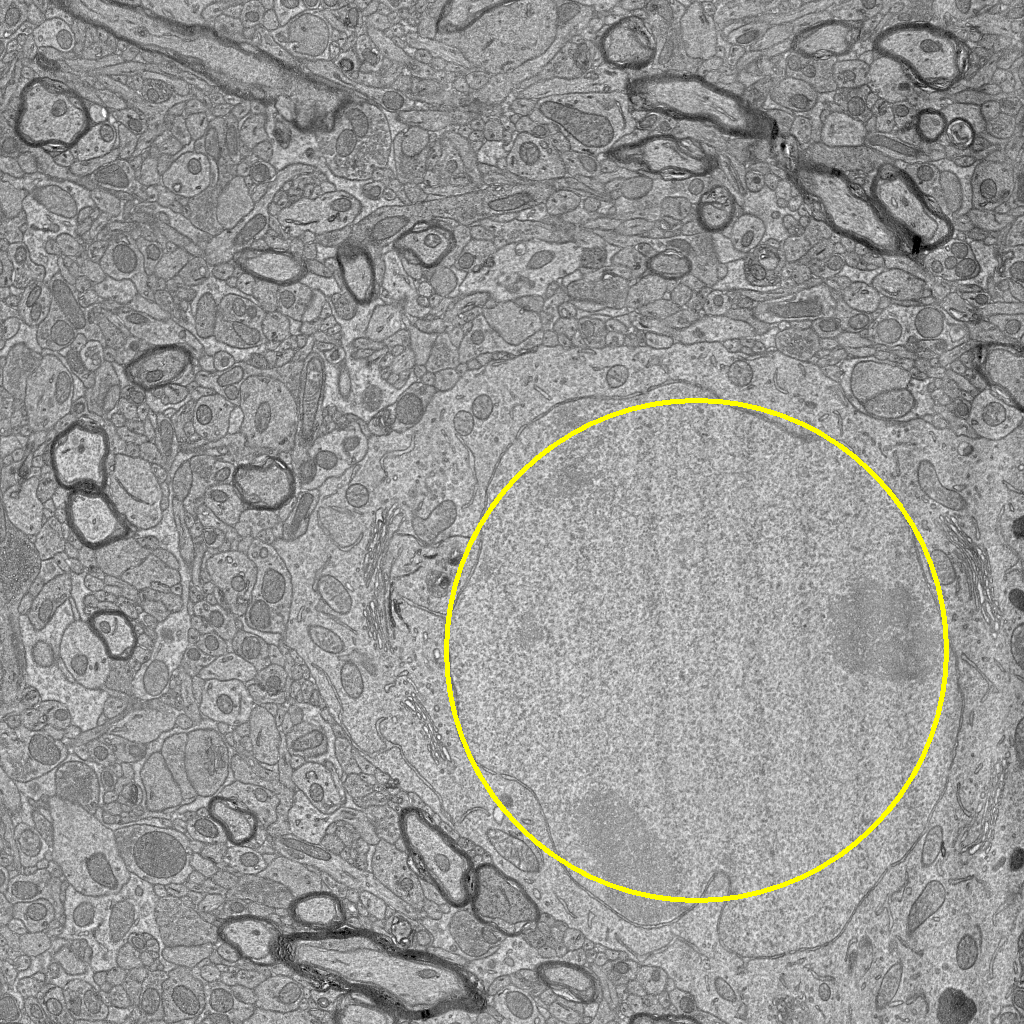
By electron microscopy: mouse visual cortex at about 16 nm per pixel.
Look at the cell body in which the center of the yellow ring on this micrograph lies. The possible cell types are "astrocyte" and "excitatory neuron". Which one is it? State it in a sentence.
The cell at the middle of the ring is an excitatory neuron.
